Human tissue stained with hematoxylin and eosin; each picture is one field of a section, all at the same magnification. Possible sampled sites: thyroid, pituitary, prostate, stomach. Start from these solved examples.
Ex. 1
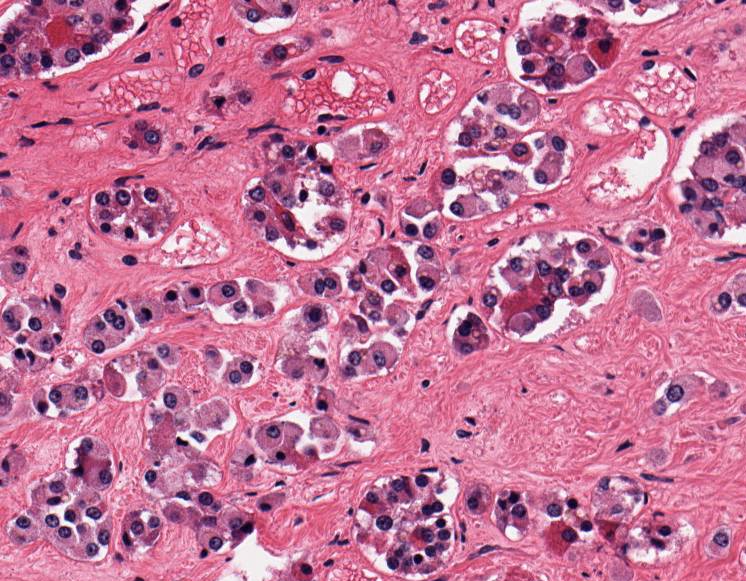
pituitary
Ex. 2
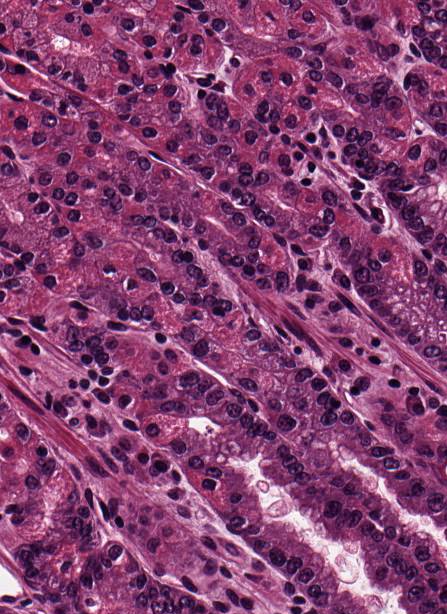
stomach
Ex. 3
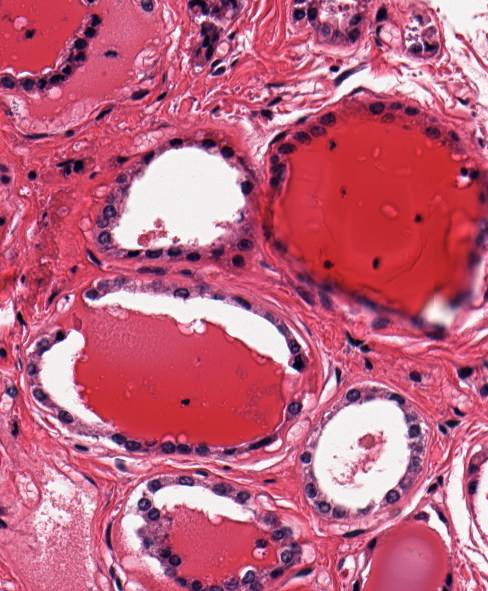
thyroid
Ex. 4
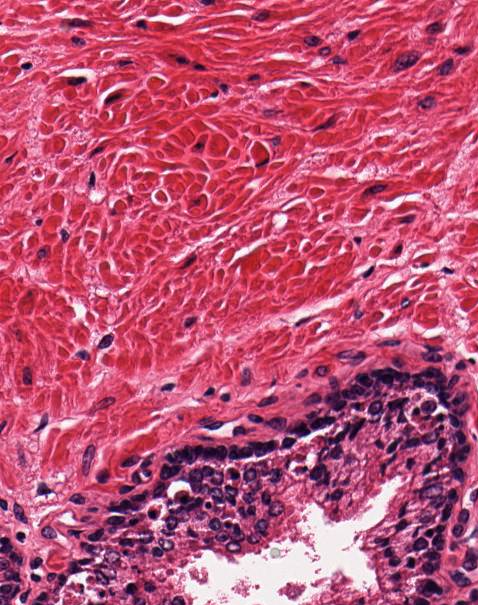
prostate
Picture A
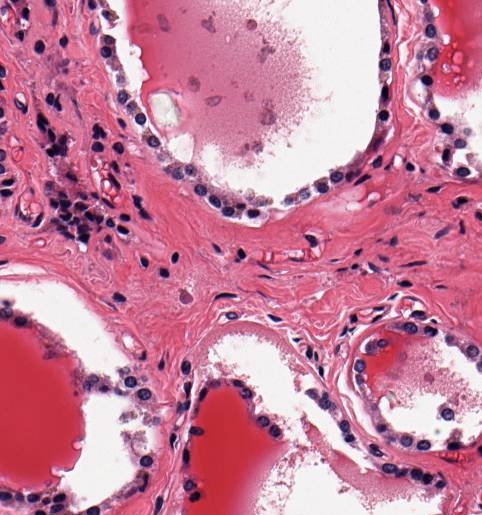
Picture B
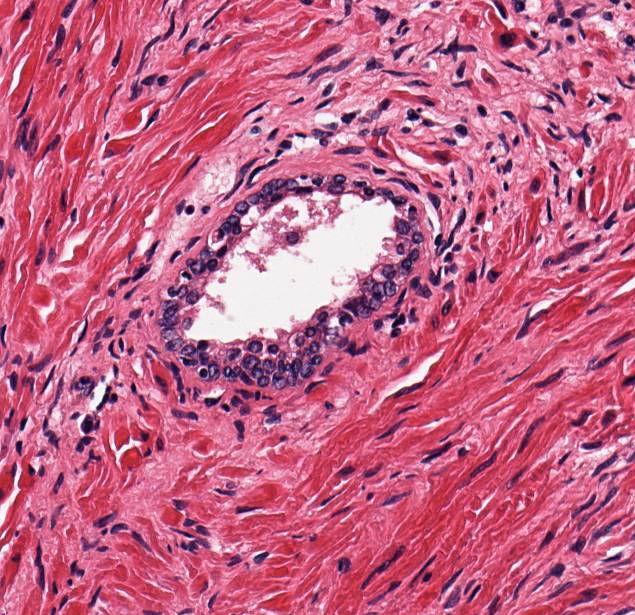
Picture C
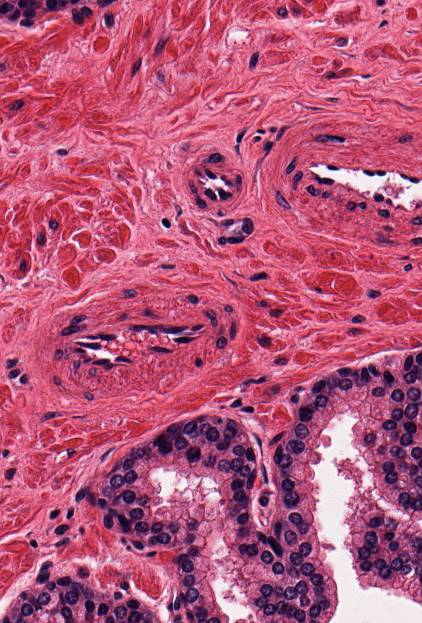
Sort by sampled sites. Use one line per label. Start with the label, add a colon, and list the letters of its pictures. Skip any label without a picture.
thyroid: A
prostate: B, C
